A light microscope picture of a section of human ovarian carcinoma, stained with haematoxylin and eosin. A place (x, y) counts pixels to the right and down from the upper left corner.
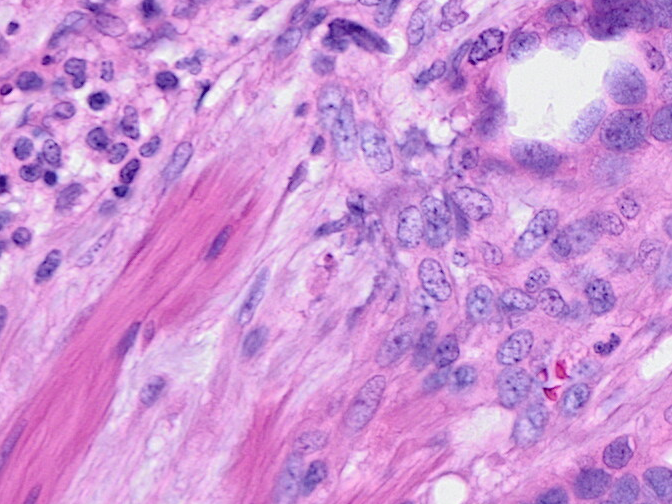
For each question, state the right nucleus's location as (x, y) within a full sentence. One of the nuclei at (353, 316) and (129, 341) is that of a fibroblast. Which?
The nucleus whose position is (353, 316) belongs to a fibroblast.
